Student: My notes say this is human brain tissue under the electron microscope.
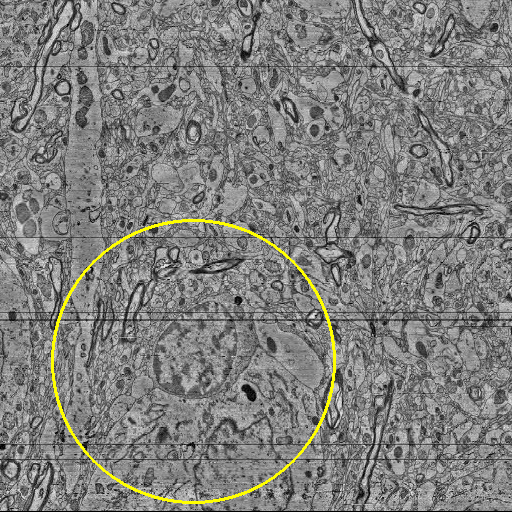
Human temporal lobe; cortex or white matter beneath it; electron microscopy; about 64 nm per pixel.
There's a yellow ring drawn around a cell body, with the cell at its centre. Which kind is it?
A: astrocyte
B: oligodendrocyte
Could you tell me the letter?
B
